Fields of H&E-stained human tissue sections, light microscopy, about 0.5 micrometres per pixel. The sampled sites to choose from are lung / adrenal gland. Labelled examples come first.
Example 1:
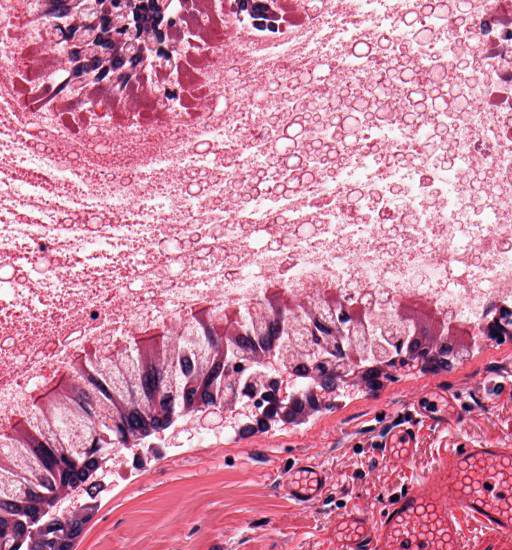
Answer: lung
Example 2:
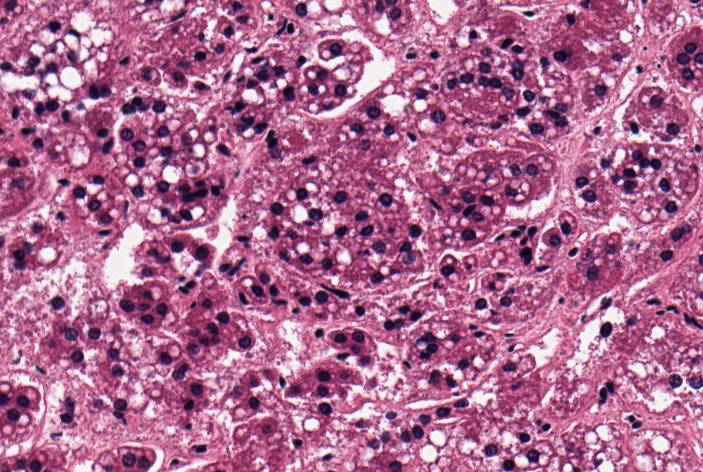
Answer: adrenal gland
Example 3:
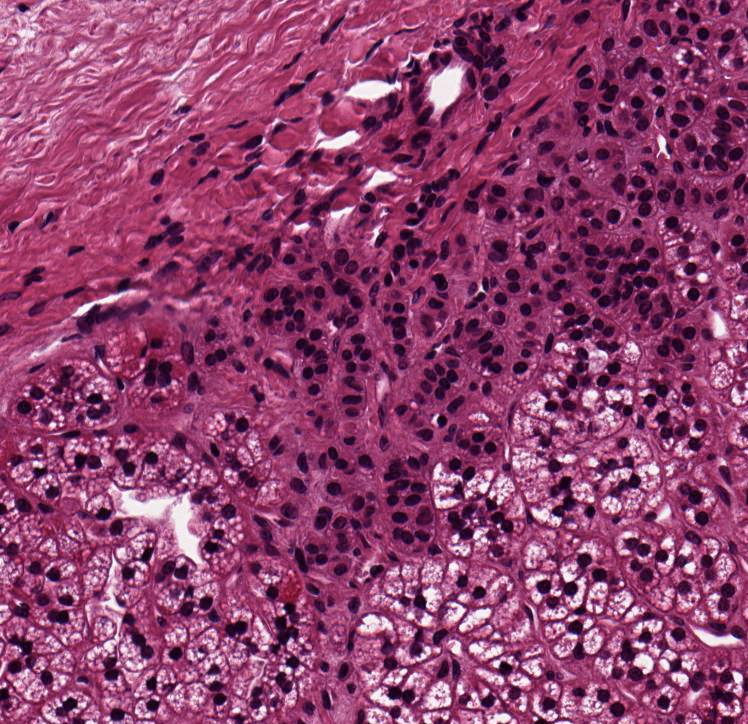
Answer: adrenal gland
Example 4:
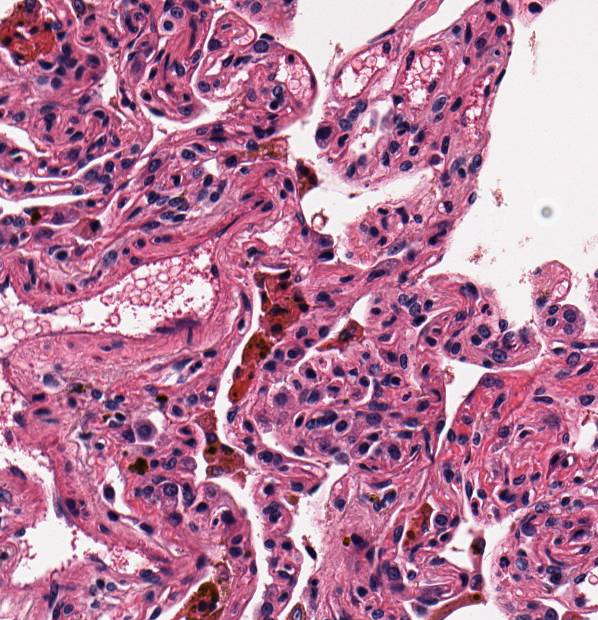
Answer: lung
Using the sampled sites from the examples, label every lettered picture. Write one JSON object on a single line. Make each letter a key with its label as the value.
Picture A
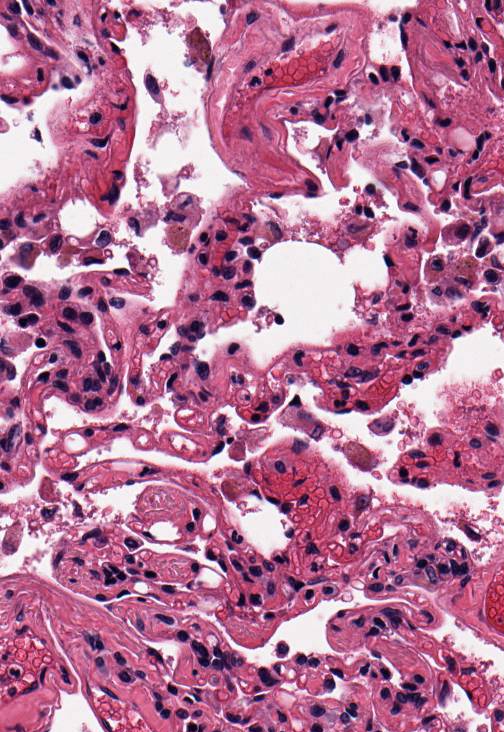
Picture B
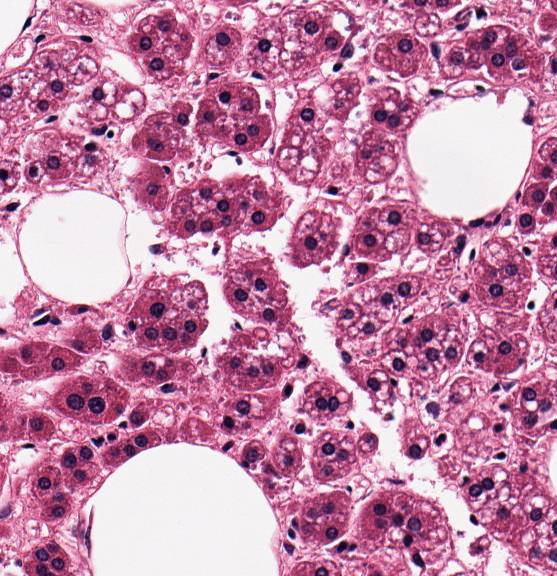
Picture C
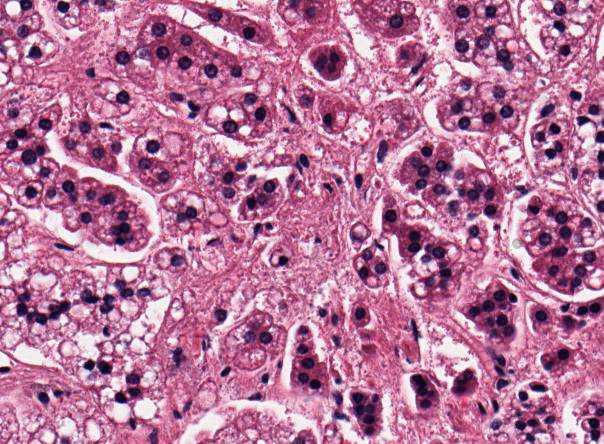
{"A": "lung", "B": "adrenal gland", "C": "adrenal gland"}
